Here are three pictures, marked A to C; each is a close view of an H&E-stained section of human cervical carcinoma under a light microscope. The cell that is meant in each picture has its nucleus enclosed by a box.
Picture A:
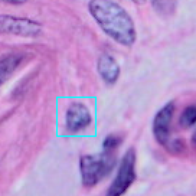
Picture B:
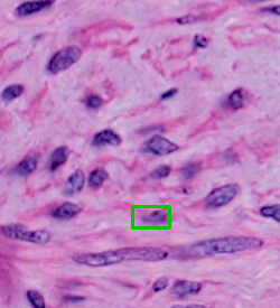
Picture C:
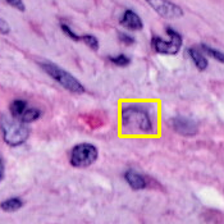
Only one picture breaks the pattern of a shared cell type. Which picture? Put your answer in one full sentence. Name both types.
Unlike the rest, which show smooth muscle cells, picture C shows an endothelial cell.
